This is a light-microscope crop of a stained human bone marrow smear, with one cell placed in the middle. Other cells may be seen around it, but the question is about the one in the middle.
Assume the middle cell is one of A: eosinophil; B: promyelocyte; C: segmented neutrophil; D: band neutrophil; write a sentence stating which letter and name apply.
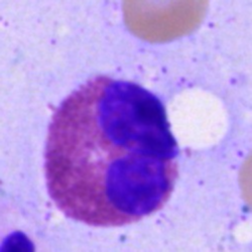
Occupying the middle of the crop is an eosinophil, hence option A is correct.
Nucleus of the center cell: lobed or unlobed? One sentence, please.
This cell has a nucleus made up of two or more segments.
